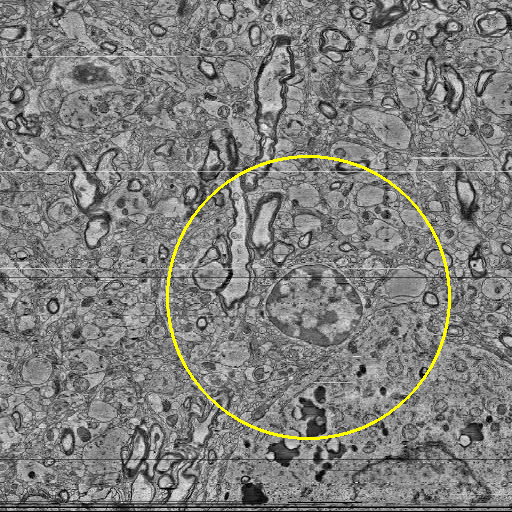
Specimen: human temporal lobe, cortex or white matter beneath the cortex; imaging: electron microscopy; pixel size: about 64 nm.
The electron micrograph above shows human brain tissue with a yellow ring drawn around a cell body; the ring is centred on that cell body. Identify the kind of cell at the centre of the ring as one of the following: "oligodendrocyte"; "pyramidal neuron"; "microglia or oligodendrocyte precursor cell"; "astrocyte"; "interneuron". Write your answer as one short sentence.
The cell at the centre of the ring is a microglial cell or oligodendrocyte precursor cell.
